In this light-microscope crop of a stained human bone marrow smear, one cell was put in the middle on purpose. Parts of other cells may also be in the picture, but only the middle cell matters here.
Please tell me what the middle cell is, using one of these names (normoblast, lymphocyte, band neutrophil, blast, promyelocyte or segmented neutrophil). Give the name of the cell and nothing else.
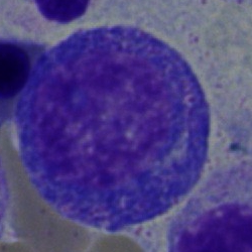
promyelocyte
